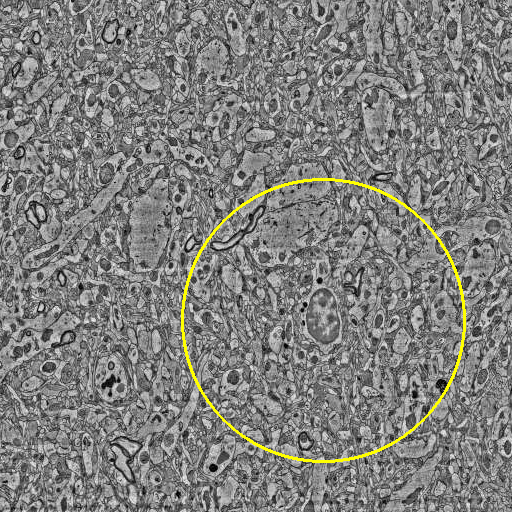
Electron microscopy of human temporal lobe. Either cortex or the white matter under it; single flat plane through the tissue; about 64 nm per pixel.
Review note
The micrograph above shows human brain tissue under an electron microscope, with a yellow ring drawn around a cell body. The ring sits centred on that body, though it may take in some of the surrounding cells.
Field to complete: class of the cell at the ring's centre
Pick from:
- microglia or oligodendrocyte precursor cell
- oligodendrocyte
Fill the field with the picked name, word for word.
microglia or oligodendrocyte precursor cell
